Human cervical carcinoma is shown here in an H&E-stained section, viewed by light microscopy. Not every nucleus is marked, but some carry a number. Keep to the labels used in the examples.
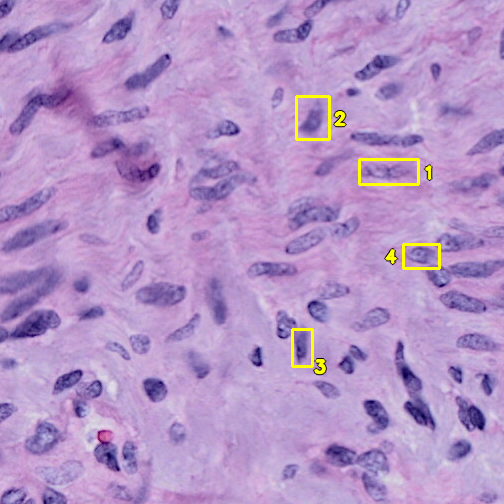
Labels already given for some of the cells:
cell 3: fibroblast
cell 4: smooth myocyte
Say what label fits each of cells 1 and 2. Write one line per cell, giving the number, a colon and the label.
1: smooth myocyte
2: fibroblast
